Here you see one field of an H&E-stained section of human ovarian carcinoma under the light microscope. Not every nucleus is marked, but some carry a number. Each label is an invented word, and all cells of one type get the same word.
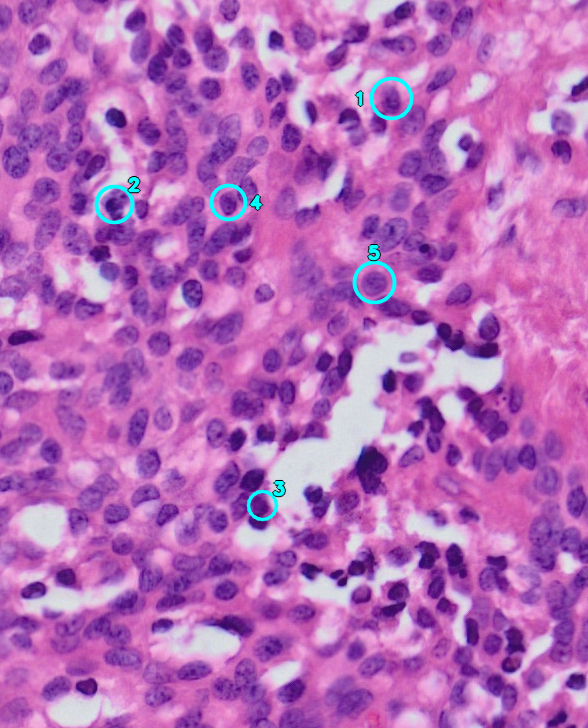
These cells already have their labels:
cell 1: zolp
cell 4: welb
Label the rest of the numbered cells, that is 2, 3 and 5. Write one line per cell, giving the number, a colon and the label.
2: welb
3: zolp
5: zolp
